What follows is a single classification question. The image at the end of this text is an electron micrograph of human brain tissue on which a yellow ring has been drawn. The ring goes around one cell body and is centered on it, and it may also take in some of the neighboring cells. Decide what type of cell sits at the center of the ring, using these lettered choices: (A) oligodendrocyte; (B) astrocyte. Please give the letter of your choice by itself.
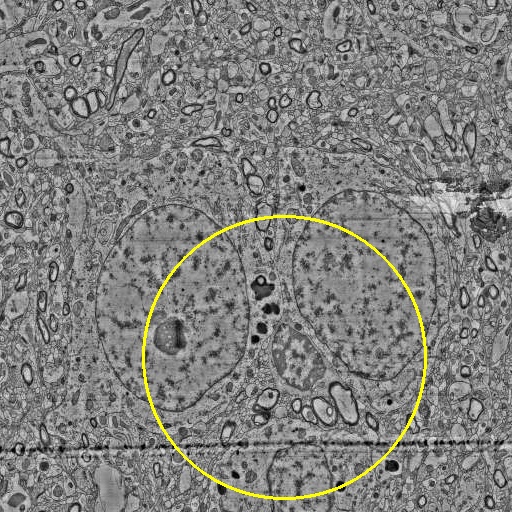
A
